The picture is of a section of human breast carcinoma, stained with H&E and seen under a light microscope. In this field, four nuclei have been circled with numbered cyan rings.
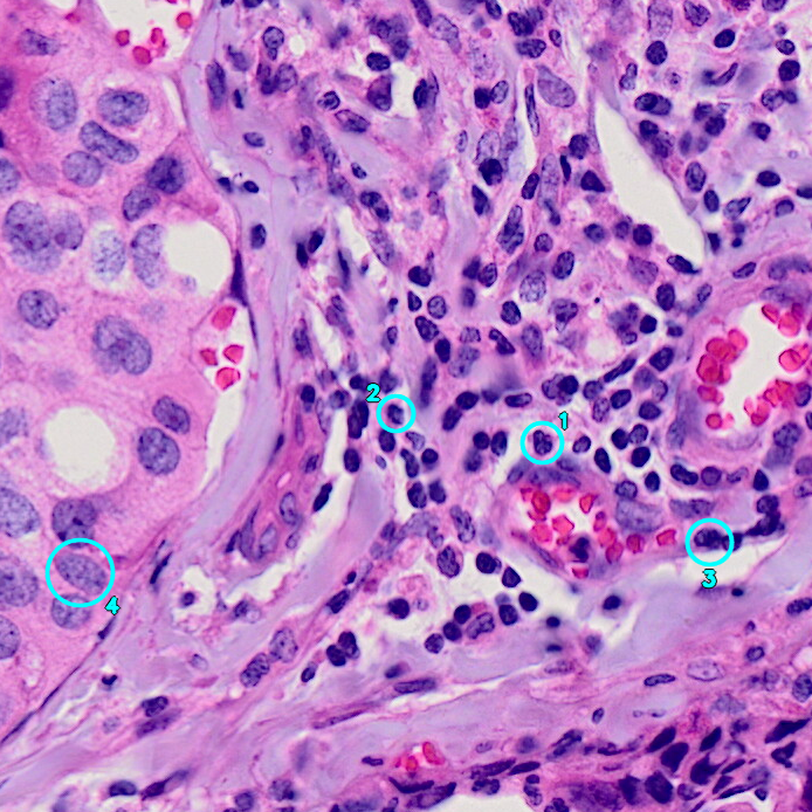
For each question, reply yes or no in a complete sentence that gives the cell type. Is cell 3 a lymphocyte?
Yes, the cell at number 3 is a lymphocyte.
